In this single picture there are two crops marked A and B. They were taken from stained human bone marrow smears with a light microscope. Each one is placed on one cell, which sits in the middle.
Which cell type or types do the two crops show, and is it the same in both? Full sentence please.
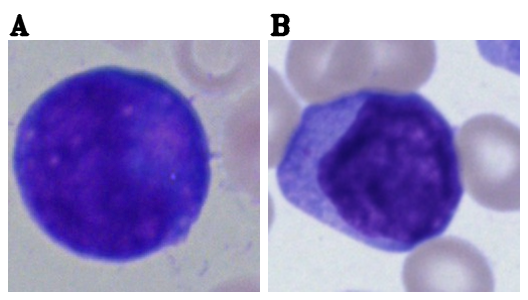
Yes, the centre cells of both crops are blasts.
